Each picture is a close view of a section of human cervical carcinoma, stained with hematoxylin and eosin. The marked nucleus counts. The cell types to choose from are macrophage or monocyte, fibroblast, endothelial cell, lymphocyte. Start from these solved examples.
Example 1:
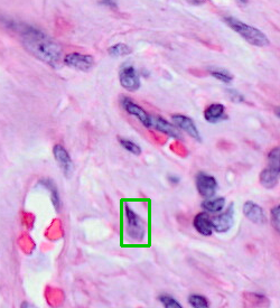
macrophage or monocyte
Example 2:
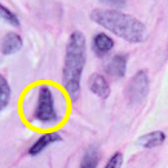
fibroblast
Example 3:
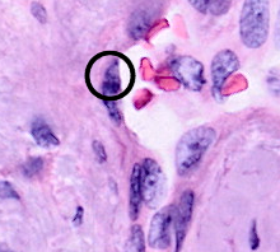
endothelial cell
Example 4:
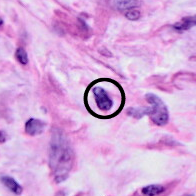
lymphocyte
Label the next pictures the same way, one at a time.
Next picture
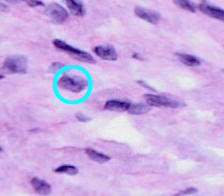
fibroblast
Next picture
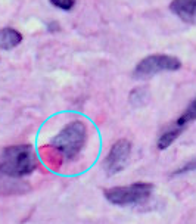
endothelial cell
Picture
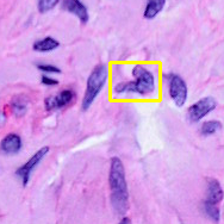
macrophage or monocyte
